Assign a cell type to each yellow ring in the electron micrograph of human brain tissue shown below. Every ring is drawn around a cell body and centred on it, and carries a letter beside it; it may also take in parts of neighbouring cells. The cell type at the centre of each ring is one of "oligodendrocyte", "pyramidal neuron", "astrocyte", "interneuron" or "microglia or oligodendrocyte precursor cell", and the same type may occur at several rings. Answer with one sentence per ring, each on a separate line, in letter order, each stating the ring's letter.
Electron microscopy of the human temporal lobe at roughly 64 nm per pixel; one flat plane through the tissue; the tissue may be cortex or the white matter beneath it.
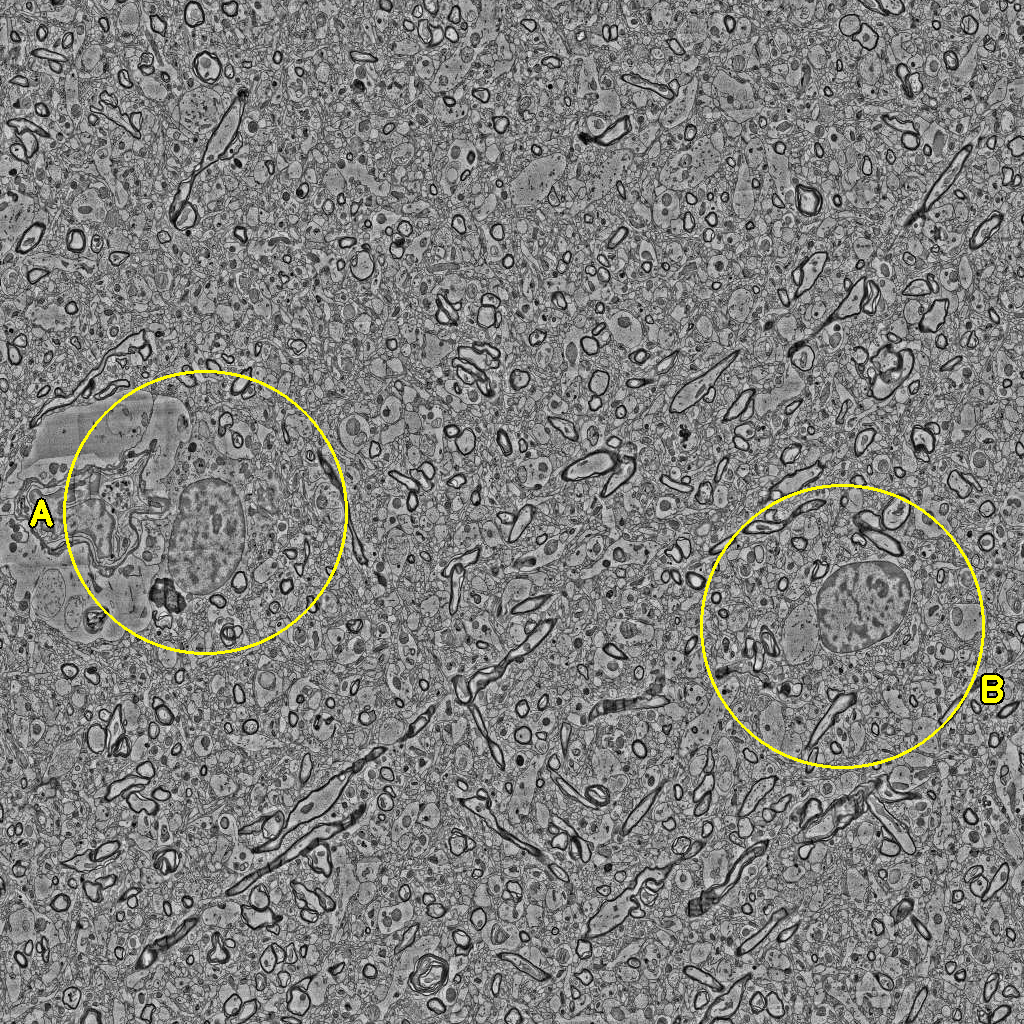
The cell at ring A's centre is an oligodendrocyte.
The cell at ring B's centre is a microglial cell or oligodendrocyte precursor cell.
